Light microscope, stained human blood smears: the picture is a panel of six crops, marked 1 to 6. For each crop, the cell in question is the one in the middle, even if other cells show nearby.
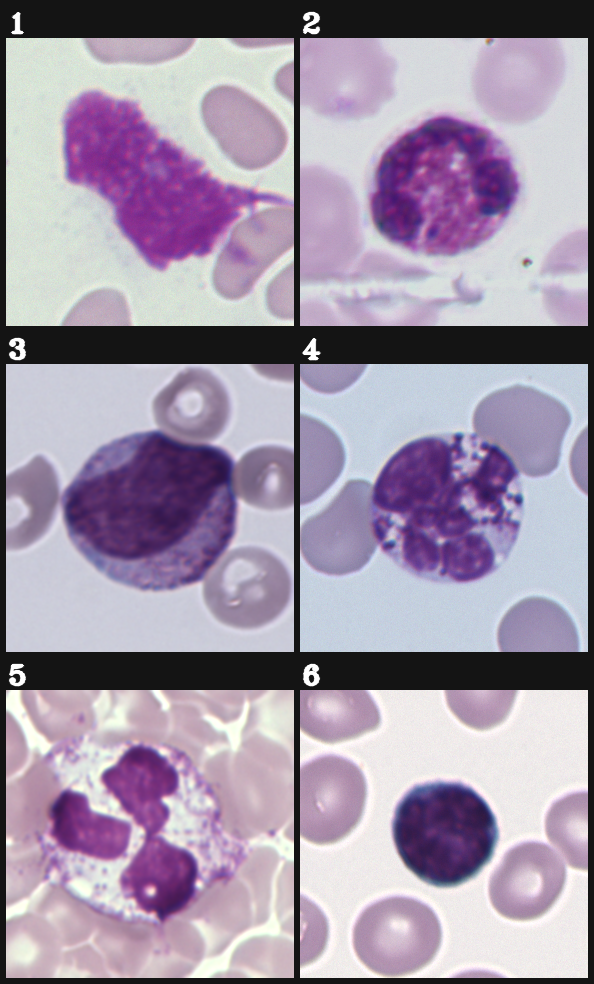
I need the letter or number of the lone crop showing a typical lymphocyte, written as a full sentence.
Crop 6 is the crop that shows a typical lymphocyte in its middle.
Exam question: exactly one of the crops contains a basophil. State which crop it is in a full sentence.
Crop 4, of the crops presented, is the one showing a basophil.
